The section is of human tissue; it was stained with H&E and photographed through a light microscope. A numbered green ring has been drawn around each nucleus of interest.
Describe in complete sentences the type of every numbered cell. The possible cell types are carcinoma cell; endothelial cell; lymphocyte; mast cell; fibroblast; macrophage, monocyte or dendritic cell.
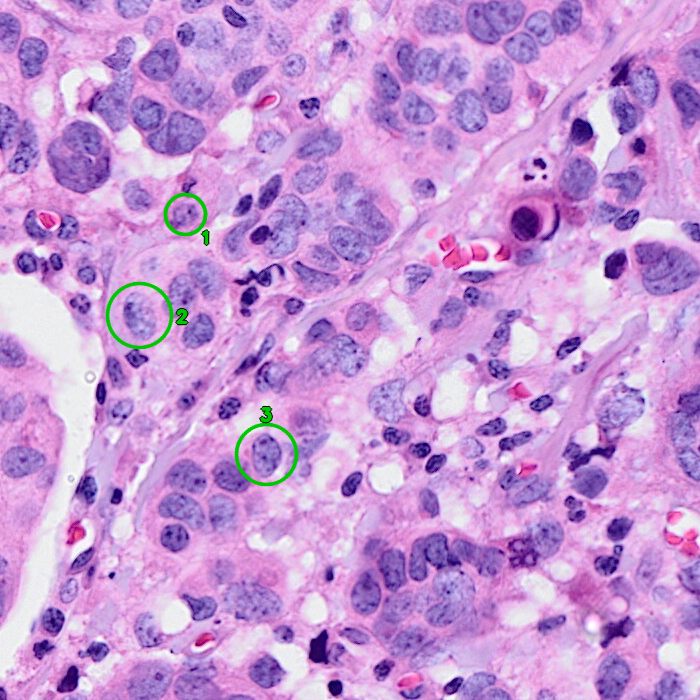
Cell 1 is a macrophage, monocyte or dendritic cell. Cells 2 and 3 are carcinoma cells.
